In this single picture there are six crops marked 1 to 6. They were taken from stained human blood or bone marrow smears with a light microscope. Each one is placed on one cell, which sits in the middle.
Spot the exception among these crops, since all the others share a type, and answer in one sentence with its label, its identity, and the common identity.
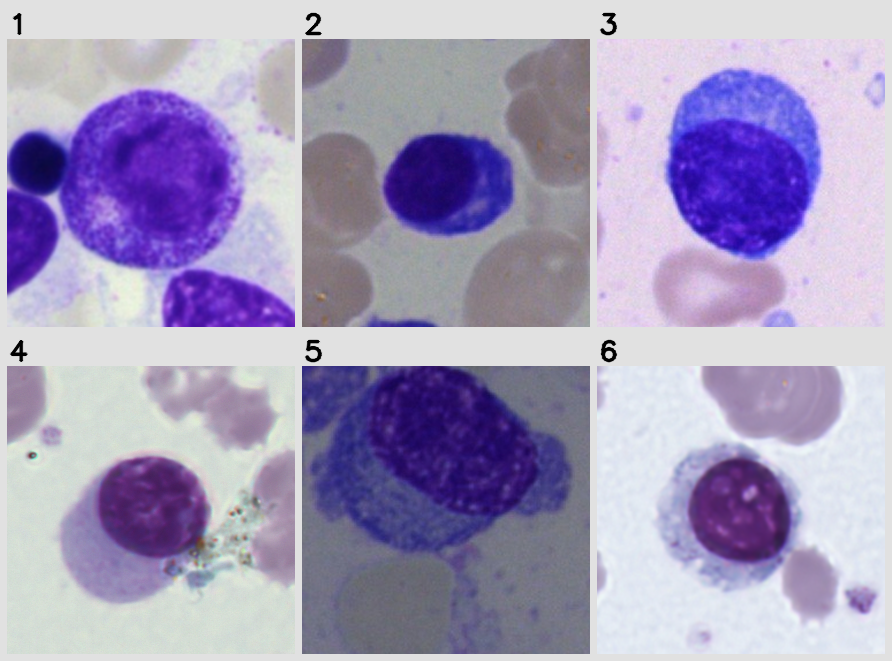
Crop 1 shows a promyelocyte; by contrast, all the other crops show plasma cells.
